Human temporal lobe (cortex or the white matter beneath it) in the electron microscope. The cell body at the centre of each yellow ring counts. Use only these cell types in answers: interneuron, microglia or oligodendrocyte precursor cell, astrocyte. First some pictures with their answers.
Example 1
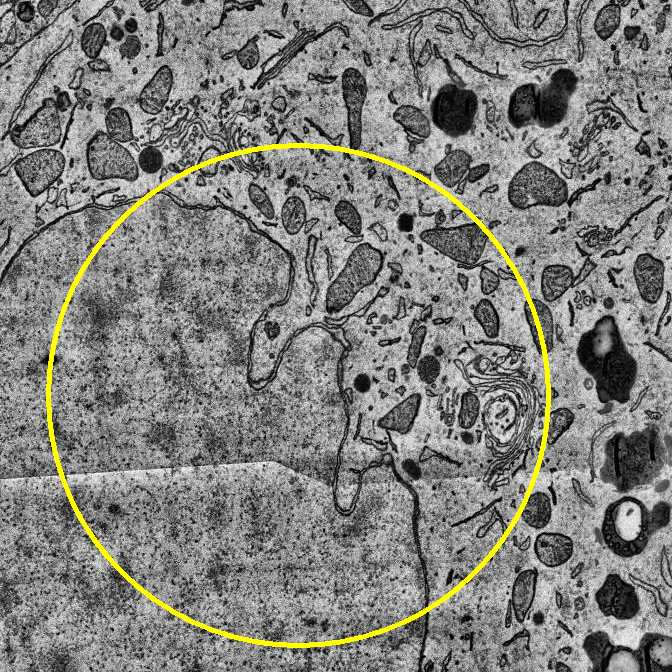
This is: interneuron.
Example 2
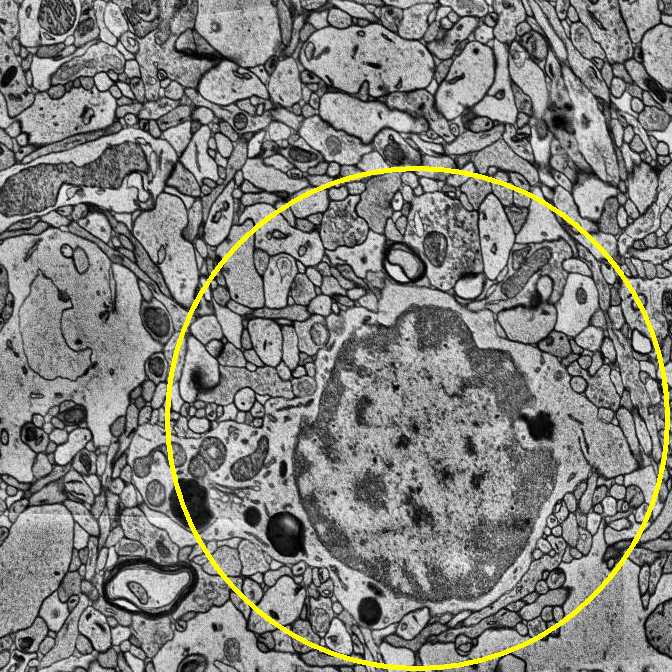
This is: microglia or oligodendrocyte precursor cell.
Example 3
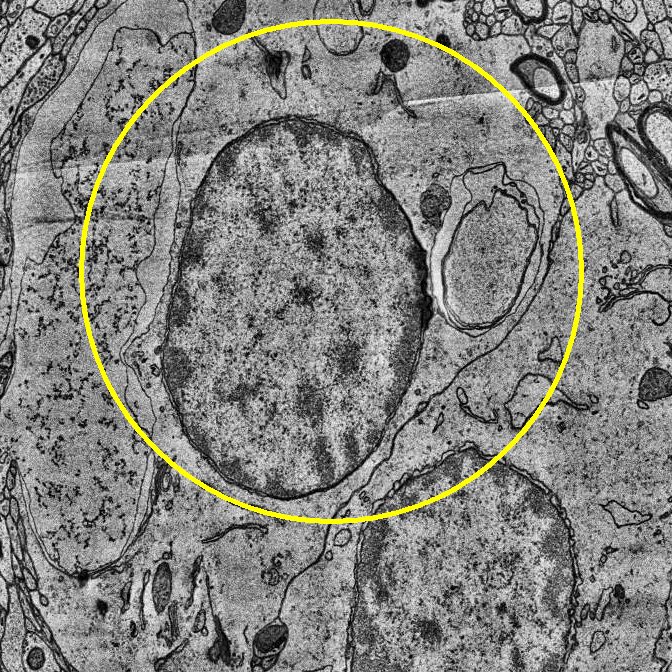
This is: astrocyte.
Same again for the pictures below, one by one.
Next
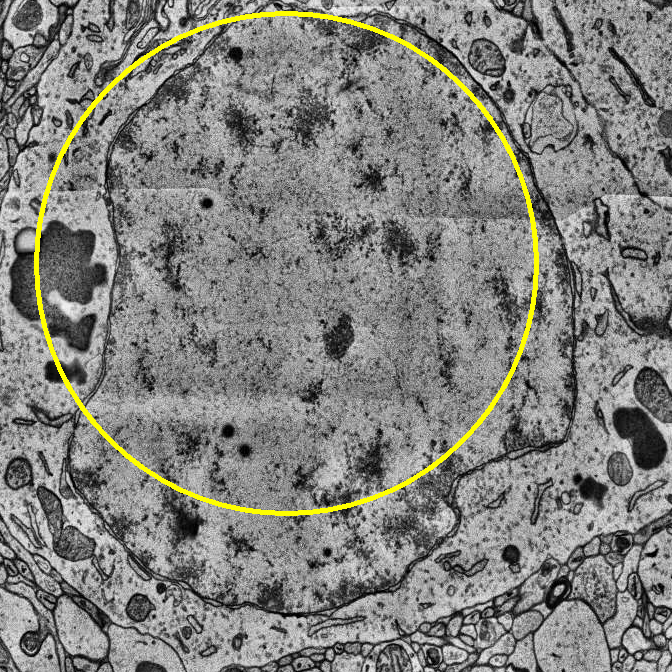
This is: interneuron.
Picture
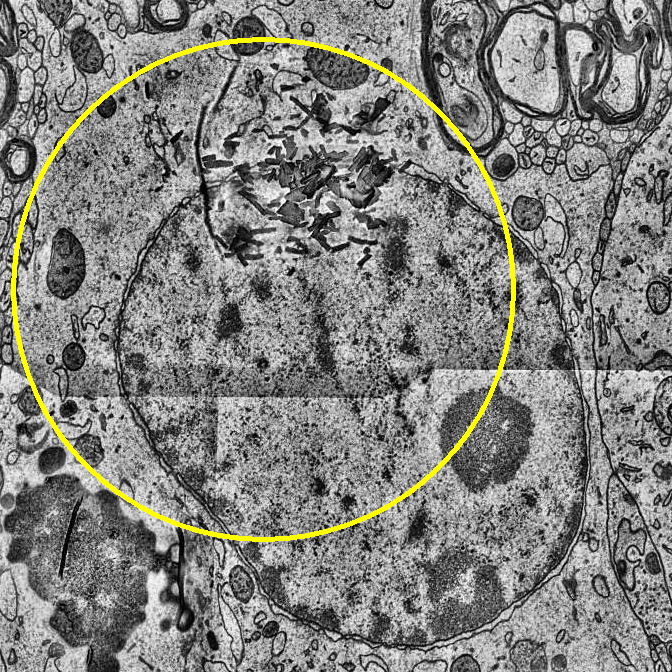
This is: astrocyte.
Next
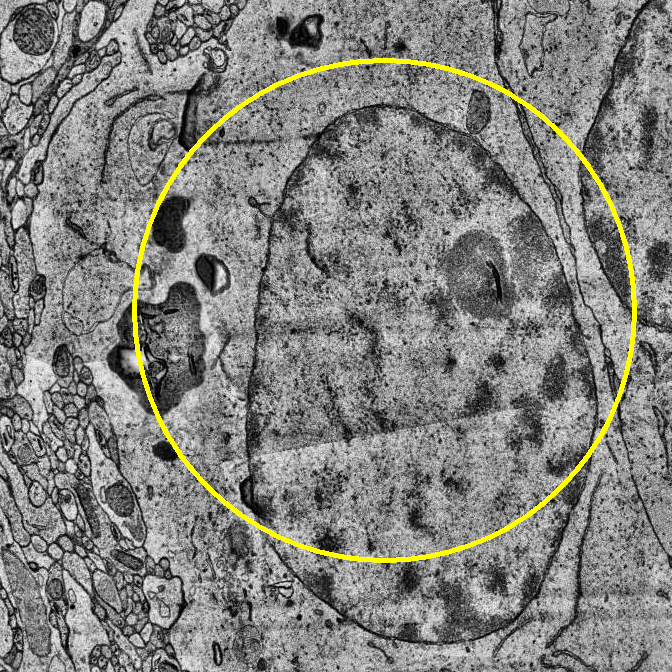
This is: astrocyte.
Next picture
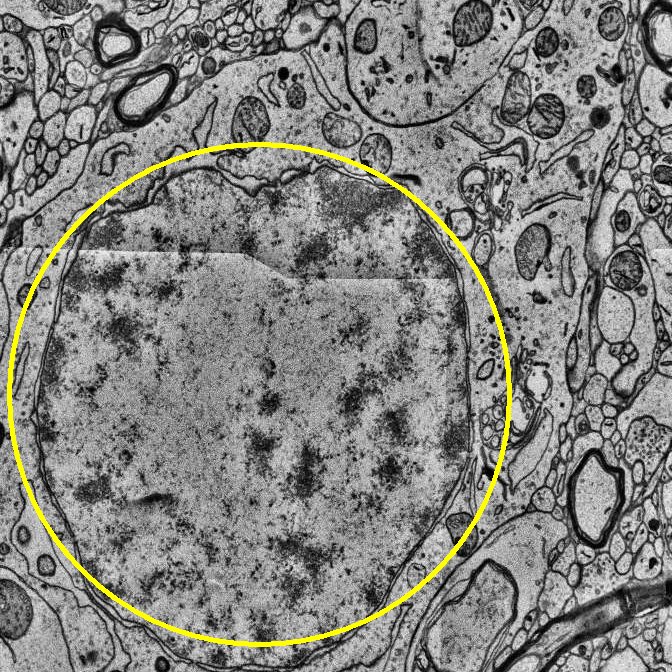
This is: interneuron.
